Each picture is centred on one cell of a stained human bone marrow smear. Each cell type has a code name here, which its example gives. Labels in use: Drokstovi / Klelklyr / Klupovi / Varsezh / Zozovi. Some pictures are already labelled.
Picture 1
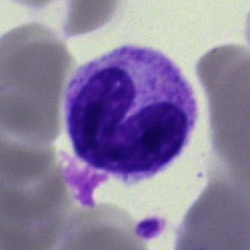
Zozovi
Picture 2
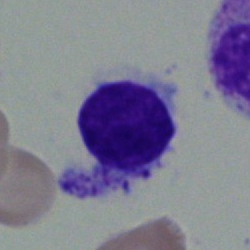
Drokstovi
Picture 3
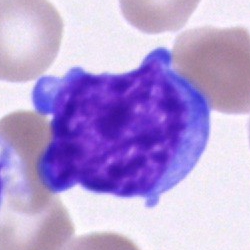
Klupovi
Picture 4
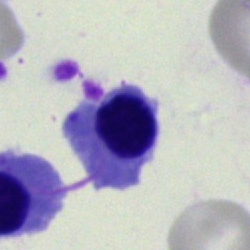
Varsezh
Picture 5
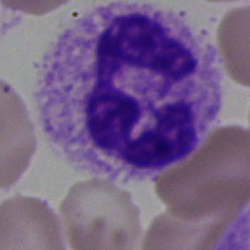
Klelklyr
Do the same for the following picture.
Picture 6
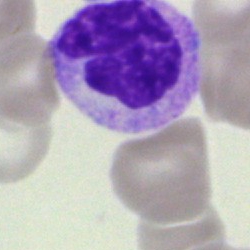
Klelklyr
